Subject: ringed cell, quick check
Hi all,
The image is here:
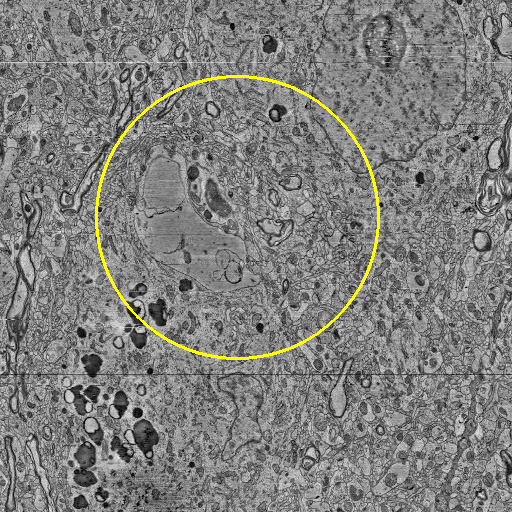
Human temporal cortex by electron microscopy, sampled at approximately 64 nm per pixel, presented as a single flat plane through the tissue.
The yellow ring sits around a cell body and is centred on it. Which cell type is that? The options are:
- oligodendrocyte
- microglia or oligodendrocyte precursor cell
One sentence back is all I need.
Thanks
That ringed cell is a microglial cell or oligodendrocyte precursor cell.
